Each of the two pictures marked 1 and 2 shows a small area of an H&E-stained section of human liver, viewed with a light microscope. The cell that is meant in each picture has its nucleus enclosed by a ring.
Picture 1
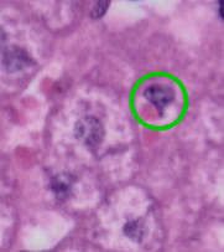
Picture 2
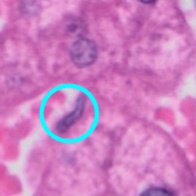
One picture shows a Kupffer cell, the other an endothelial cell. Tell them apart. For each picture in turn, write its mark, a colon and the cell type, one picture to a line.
1: endothelial cell
2: Kupffer cell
